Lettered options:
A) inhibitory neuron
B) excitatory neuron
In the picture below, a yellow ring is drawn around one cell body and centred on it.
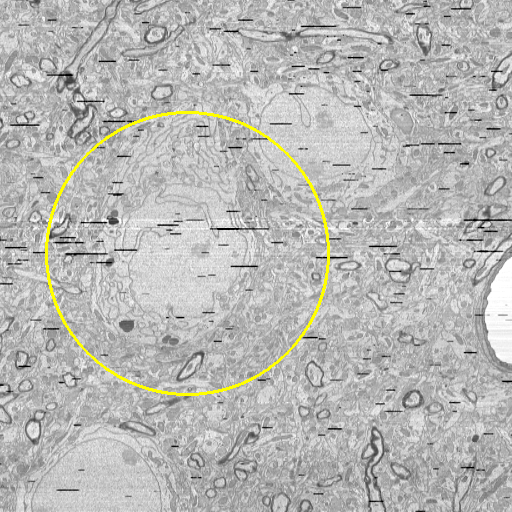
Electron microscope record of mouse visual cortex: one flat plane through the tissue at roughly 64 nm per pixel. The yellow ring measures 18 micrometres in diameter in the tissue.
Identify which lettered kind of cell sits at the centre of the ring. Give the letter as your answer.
A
